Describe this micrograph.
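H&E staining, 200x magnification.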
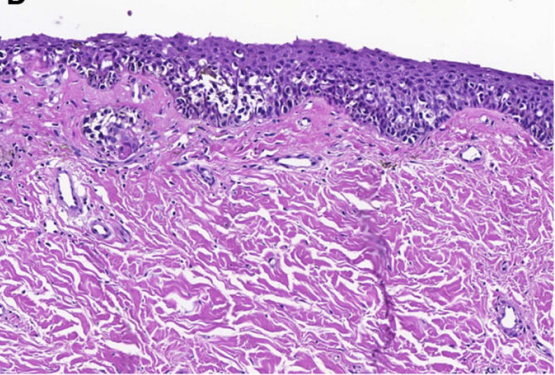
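Epidermis over dense pink collagenous dermis, with pale cells showing clear cytoplasm and dark nuclei crowded along the basal layer. These cells form confluent rows and small nests at the junction with the dermis, and single pale cells are also scattered higher up among the keratinocytes. The dermis beneath contains small vessels and a few scattered cells, with occasional fine brown pigment near the junction.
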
